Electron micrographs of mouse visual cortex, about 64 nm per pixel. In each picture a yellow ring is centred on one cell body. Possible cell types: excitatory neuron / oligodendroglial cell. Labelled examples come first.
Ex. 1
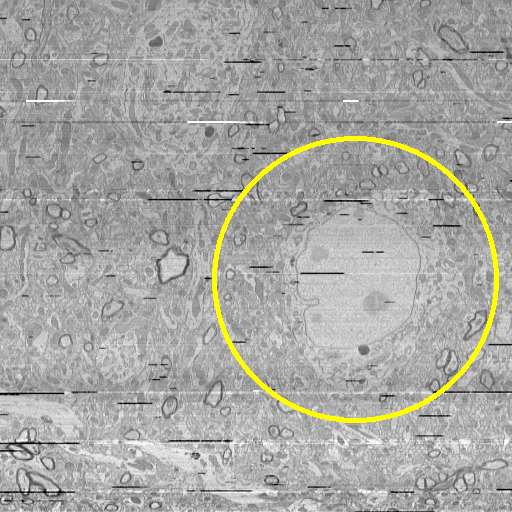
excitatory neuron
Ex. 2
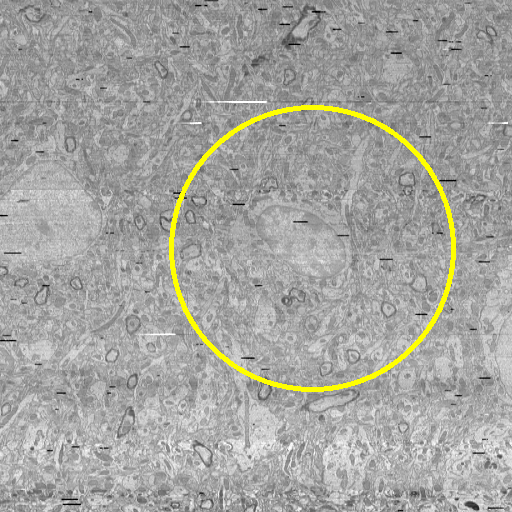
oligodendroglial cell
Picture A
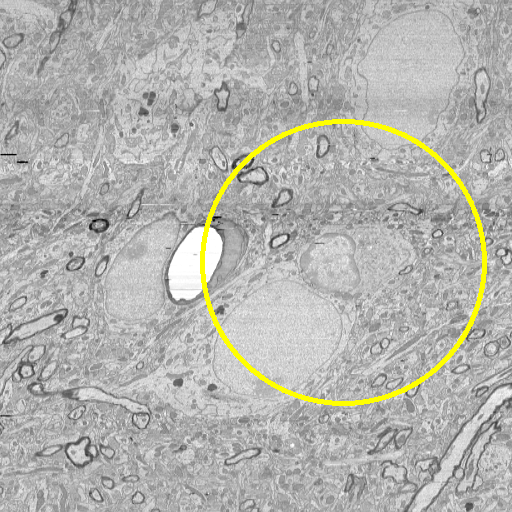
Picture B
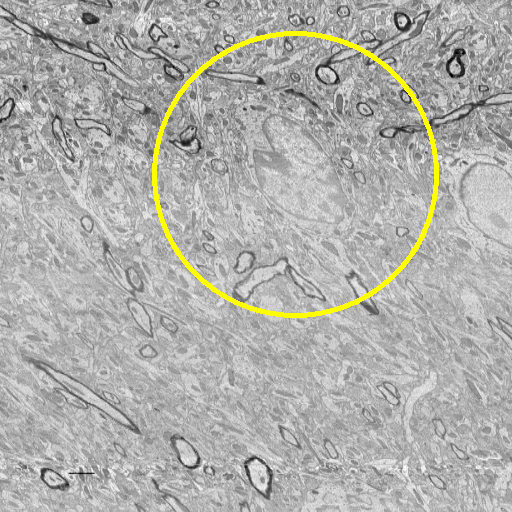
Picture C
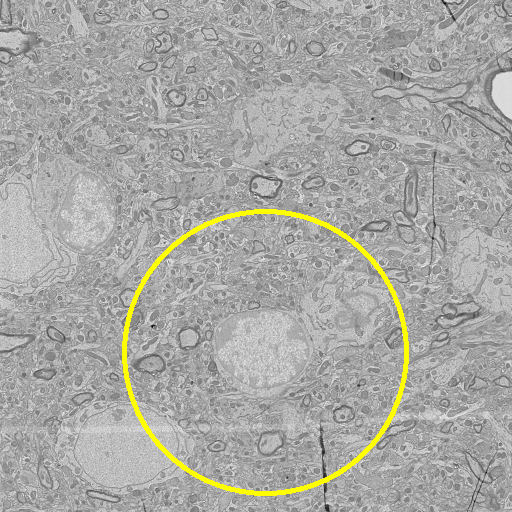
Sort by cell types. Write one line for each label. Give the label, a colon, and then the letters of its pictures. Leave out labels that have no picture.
oligodendroglial cell: A, B, C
